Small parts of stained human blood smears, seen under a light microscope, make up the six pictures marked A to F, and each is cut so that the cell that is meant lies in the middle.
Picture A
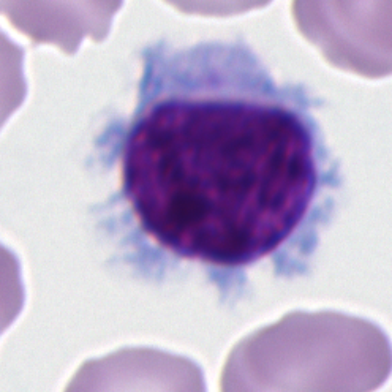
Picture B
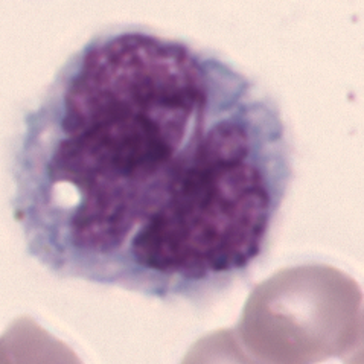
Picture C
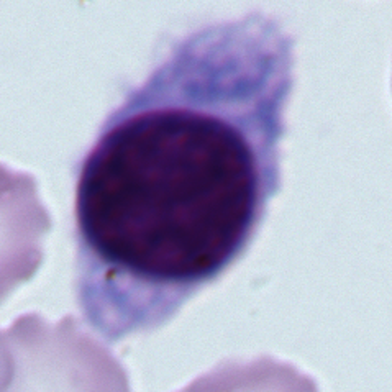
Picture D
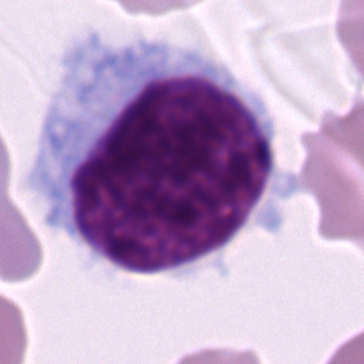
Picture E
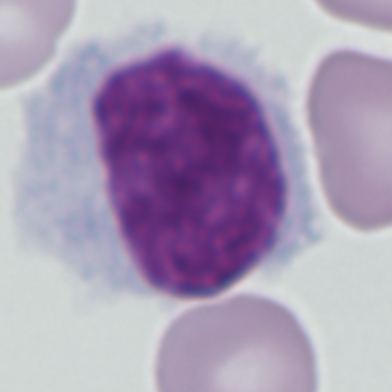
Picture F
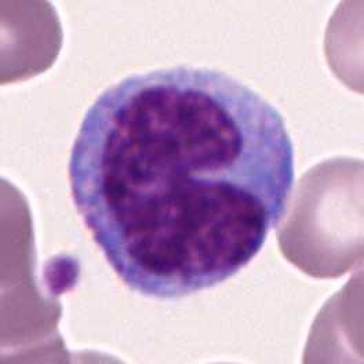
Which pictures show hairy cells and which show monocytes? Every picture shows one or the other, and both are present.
A: hairy cell
B: monocyte
C: hairy cell
D: hairy cell
E: hairy cell
F: monocyte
